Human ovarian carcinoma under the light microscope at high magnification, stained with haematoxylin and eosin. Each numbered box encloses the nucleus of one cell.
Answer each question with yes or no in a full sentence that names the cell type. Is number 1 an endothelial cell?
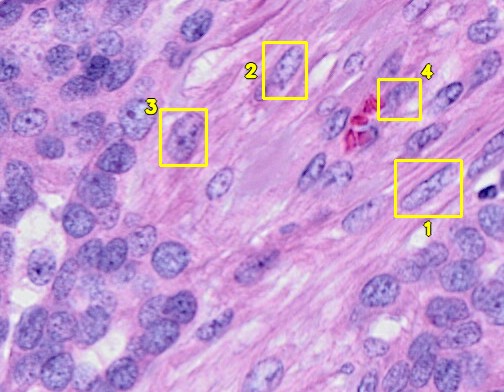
No, cell 1 is a fibroblast and should not be called an endothelial cell.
